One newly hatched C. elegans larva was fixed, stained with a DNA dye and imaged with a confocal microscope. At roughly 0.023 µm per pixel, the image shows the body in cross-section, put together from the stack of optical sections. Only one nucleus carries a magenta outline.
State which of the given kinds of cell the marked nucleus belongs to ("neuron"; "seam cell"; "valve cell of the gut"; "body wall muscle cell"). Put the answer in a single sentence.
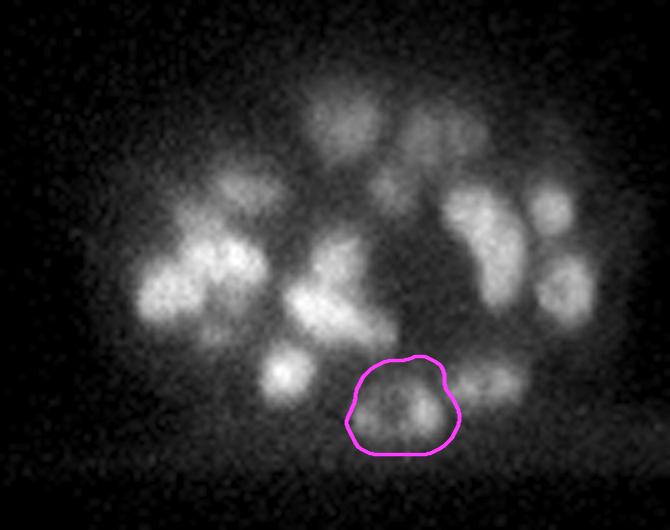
The marked nucleus is that of a seam cell.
